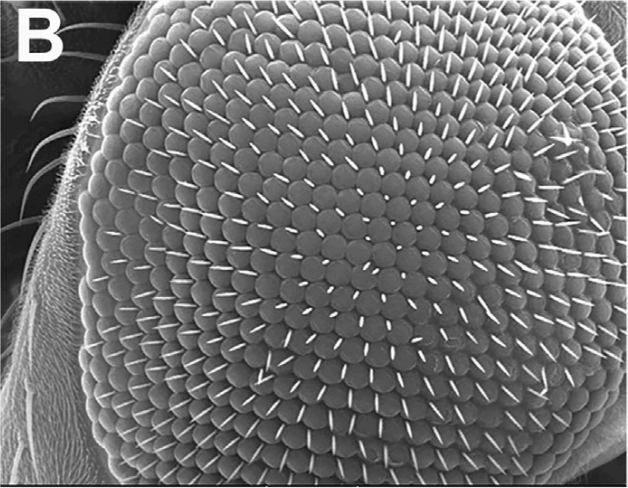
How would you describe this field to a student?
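This is the outer surface of a compound eye, made up of many ommatidia whose rounded, convex facets are packed closely together. The facets are nearly uniform in size and lie in a very regular, almost hexagonal array of rows across the domed surface. Short, slender bristles stand up from between neighbouring facets and are repeated regularly over the whole eye. At the left margin the facets give way to the head cuticle, which has a finely ridged texture and carries a few much longer bristles.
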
